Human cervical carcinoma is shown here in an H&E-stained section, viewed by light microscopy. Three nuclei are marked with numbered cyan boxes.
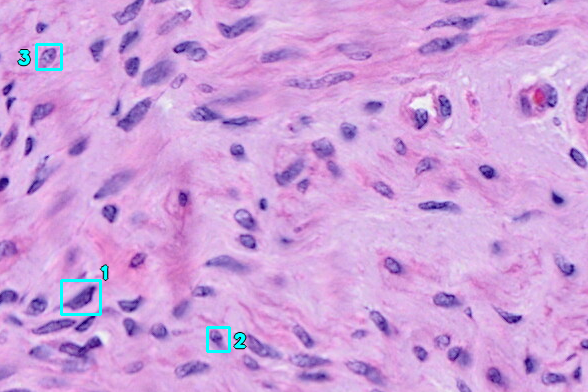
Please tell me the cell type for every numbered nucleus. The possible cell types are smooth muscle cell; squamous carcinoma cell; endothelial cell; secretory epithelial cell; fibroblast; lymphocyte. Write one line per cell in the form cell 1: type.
cell 1: fibroblast
cell 2: smooth muscle cell
cell 3: smooth muscle cell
